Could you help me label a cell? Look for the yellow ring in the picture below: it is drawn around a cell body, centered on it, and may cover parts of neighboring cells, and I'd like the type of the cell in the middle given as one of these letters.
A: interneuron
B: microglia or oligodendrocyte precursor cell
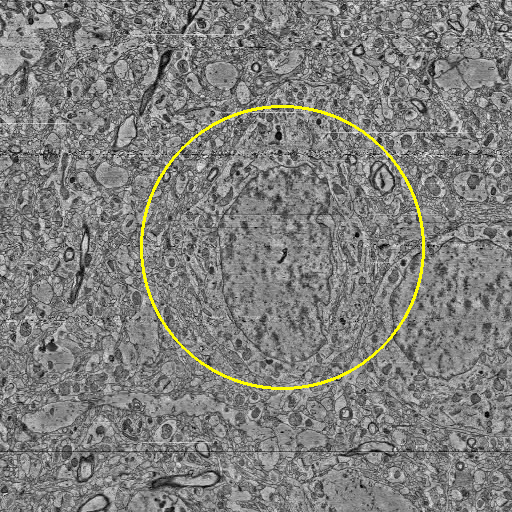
A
